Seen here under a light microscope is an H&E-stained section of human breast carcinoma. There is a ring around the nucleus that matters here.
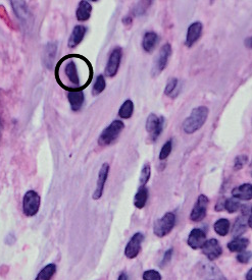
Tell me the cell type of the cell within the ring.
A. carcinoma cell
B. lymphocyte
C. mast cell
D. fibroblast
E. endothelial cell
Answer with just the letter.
B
